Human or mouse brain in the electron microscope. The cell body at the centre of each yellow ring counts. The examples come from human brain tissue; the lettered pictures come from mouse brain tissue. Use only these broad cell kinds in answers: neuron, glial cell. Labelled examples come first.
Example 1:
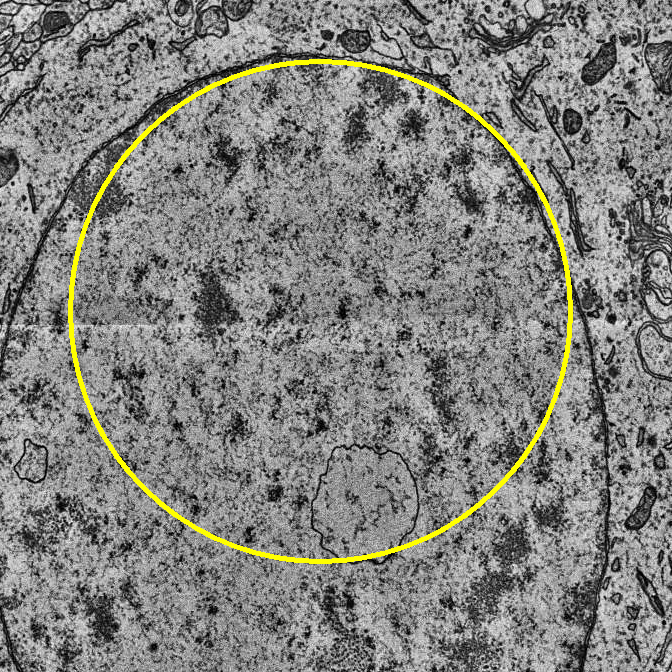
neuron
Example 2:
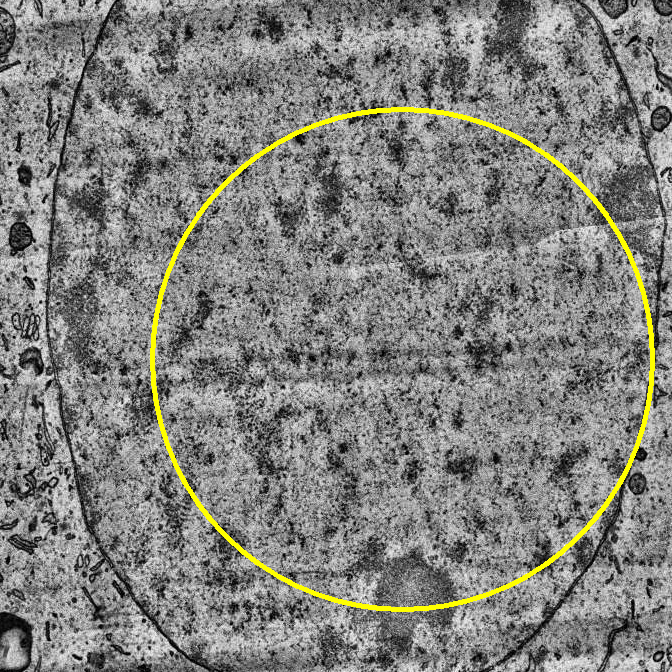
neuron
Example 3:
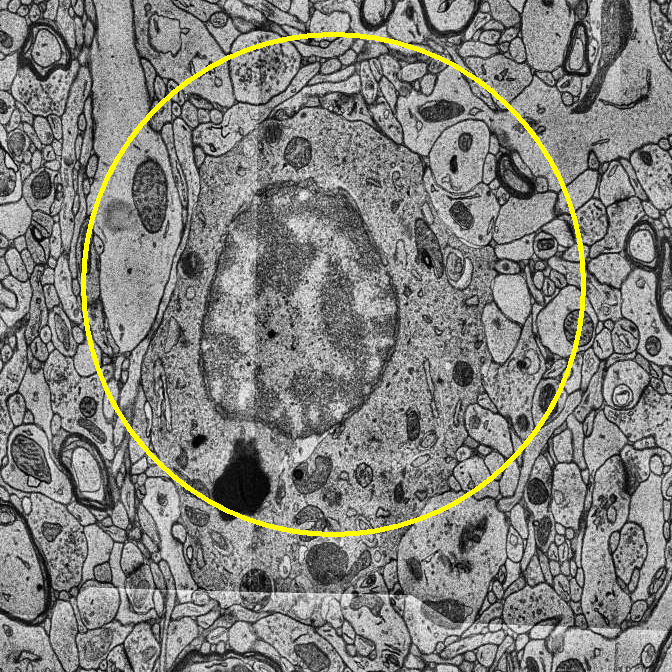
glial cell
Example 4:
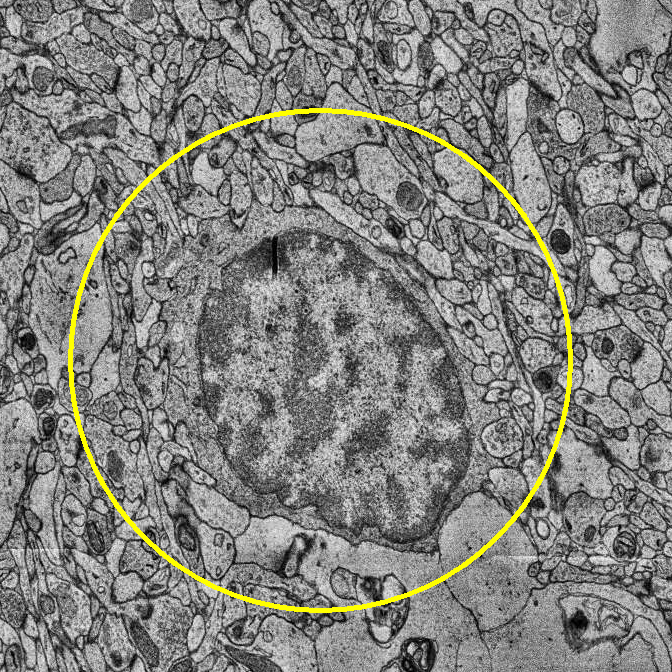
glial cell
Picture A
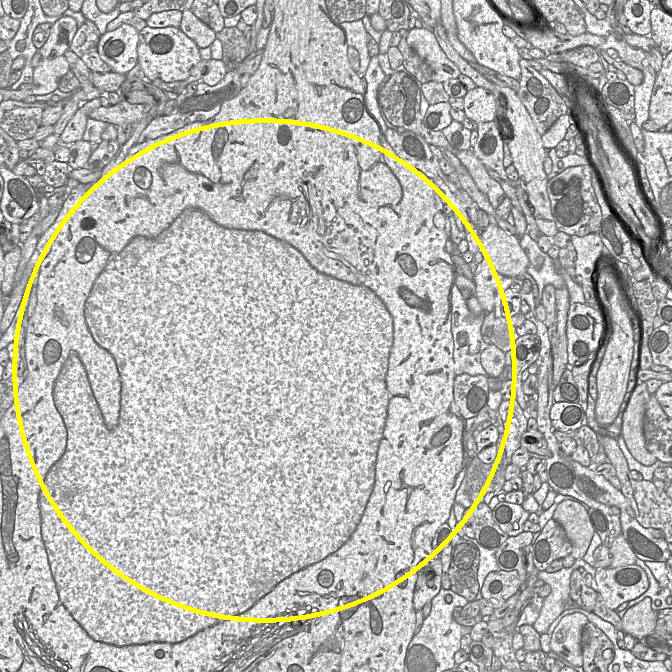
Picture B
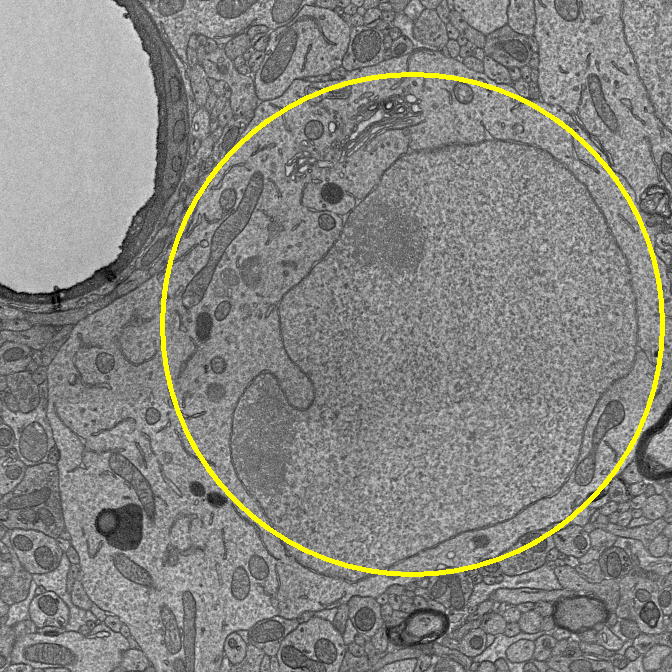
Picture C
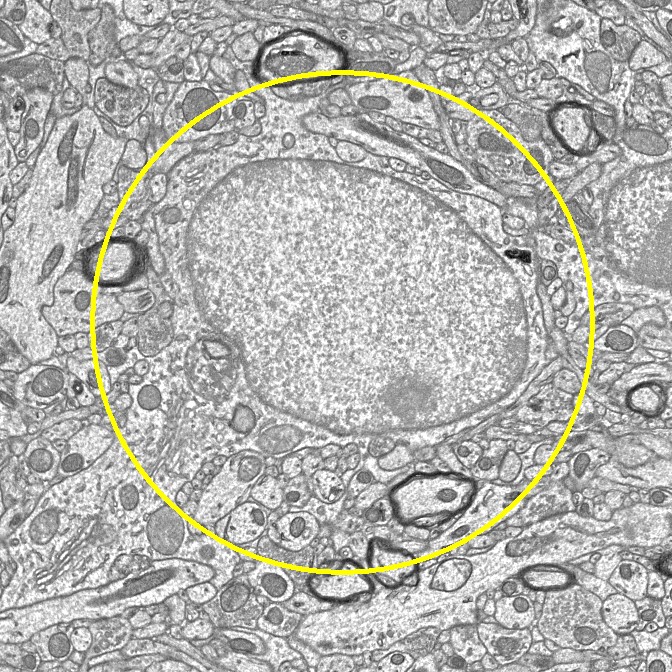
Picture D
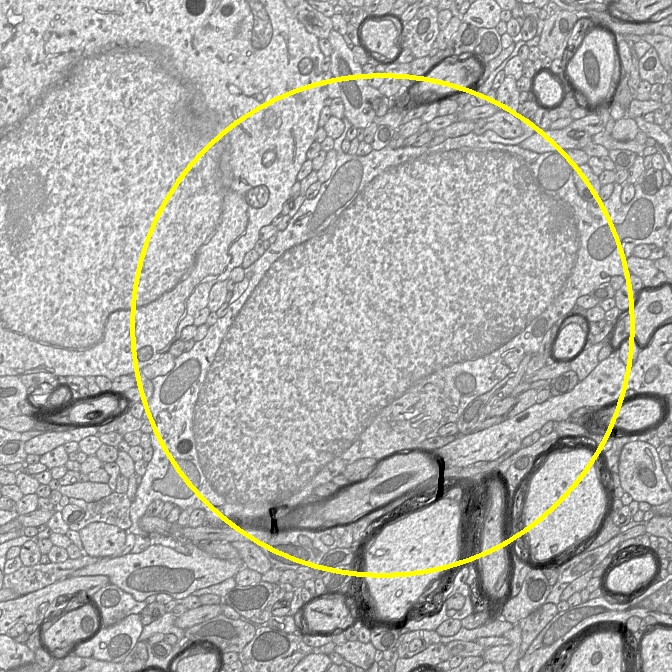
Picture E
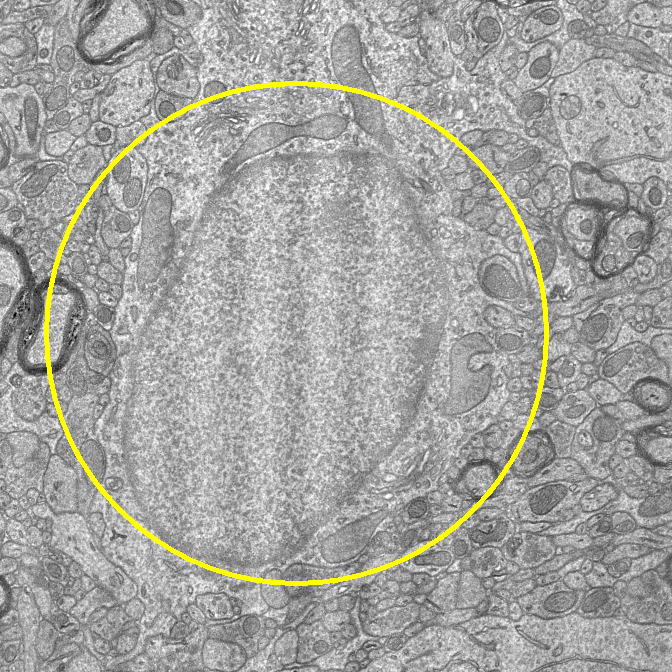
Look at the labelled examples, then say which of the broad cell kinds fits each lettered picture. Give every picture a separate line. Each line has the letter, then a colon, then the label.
A: neuron
B: neuron
C: glial cell
D: glial cell
E: glial cell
